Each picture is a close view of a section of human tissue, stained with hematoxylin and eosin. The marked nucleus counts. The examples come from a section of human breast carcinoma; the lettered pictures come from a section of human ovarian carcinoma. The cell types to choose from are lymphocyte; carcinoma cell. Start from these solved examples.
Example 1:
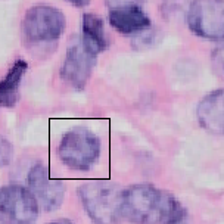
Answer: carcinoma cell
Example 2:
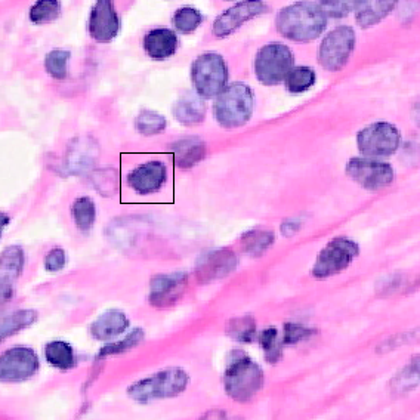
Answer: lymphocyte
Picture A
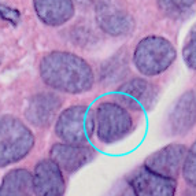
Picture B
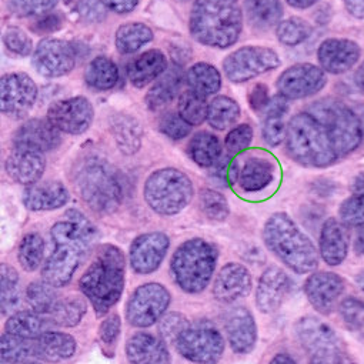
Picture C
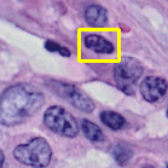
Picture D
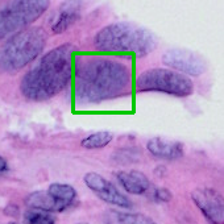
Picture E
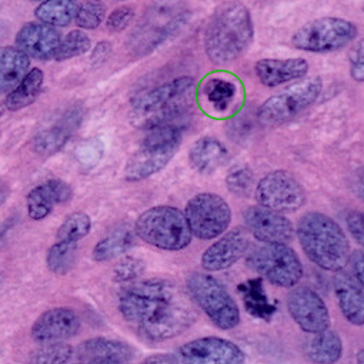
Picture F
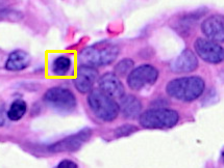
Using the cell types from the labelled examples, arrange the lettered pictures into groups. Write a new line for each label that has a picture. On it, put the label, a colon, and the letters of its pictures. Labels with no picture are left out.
lymphocyte: C, E, F
carcinoma cell: A, B, D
